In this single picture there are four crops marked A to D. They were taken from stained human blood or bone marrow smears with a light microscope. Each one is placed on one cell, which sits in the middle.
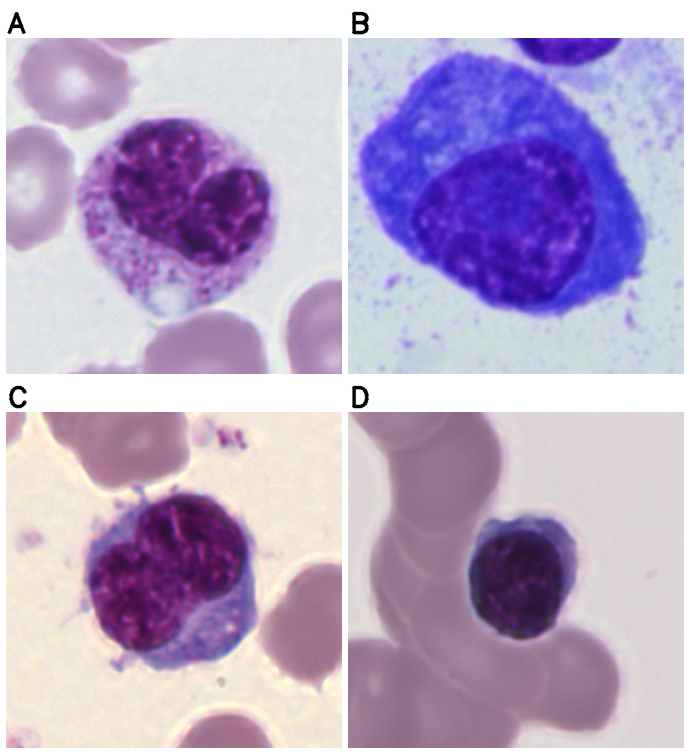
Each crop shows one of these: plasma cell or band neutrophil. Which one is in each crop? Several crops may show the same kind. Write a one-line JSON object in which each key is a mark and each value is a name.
{"A": "band neutrophil", "B": "plasma cell", "C": "plasma cell", "D": "plasma cell"}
